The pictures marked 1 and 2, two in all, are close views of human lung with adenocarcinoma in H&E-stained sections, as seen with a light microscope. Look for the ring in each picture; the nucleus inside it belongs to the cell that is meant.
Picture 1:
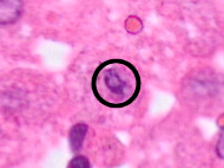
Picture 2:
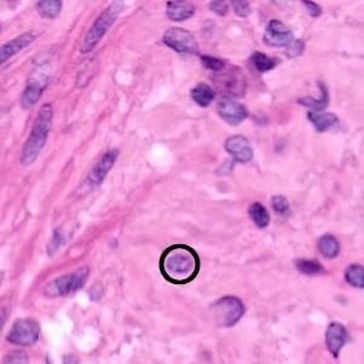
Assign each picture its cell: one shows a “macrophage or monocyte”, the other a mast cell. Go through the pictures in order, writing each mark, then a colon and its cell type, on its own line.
1: macrophage or monocyte
2: mast cell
